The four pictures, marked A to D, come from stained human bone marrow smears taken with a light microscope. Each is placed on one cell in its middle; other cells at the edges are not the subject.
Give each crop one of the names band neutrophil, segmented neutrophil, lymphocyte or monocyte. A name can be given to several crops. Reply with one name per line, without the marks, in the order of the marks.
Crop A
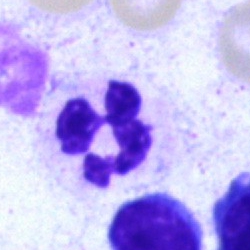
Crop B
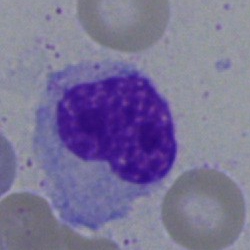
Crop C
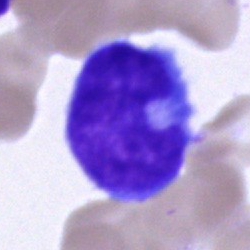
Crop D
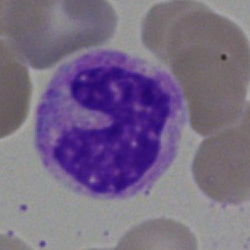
segmented neutrophil
monocyte
monocyte
band neutrophil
